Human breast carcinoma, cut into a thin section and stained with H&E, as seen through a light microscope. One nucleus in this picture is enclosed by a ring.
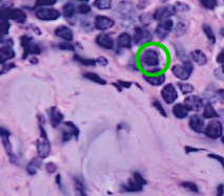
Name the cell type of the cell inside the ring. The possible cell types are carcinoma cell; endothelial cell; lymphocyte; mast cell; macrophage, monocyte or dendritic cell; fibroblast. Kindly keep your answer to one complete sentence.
Within the stained tissue, the cell inside the ring is a lymphocyte.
